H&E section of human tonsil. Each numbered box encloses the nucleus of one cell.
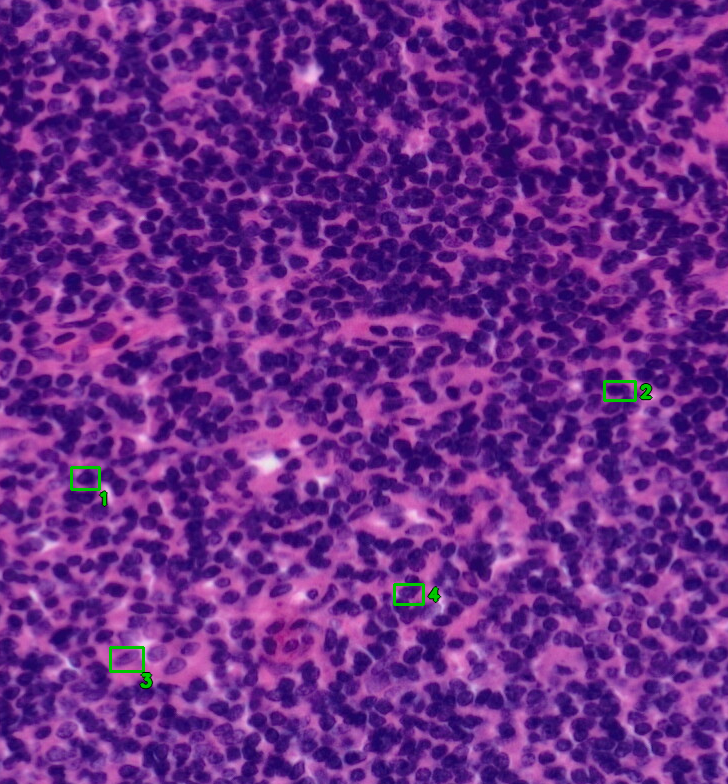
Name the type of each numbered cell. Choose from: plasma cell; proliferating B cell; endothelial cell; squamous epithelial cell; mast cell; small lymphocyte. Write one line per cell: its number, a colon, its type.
1: small lymphocyte
2: small lymphocyte
3: endothelial cell
4: small lymphocyte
